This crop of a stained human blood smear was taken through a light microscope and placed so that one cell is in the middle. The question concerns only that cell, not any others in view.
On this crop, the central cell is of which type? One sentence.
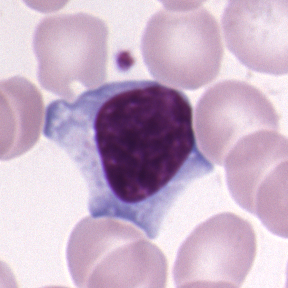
The cell at the middle of the crop is recognized as a typical lymphocyte.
